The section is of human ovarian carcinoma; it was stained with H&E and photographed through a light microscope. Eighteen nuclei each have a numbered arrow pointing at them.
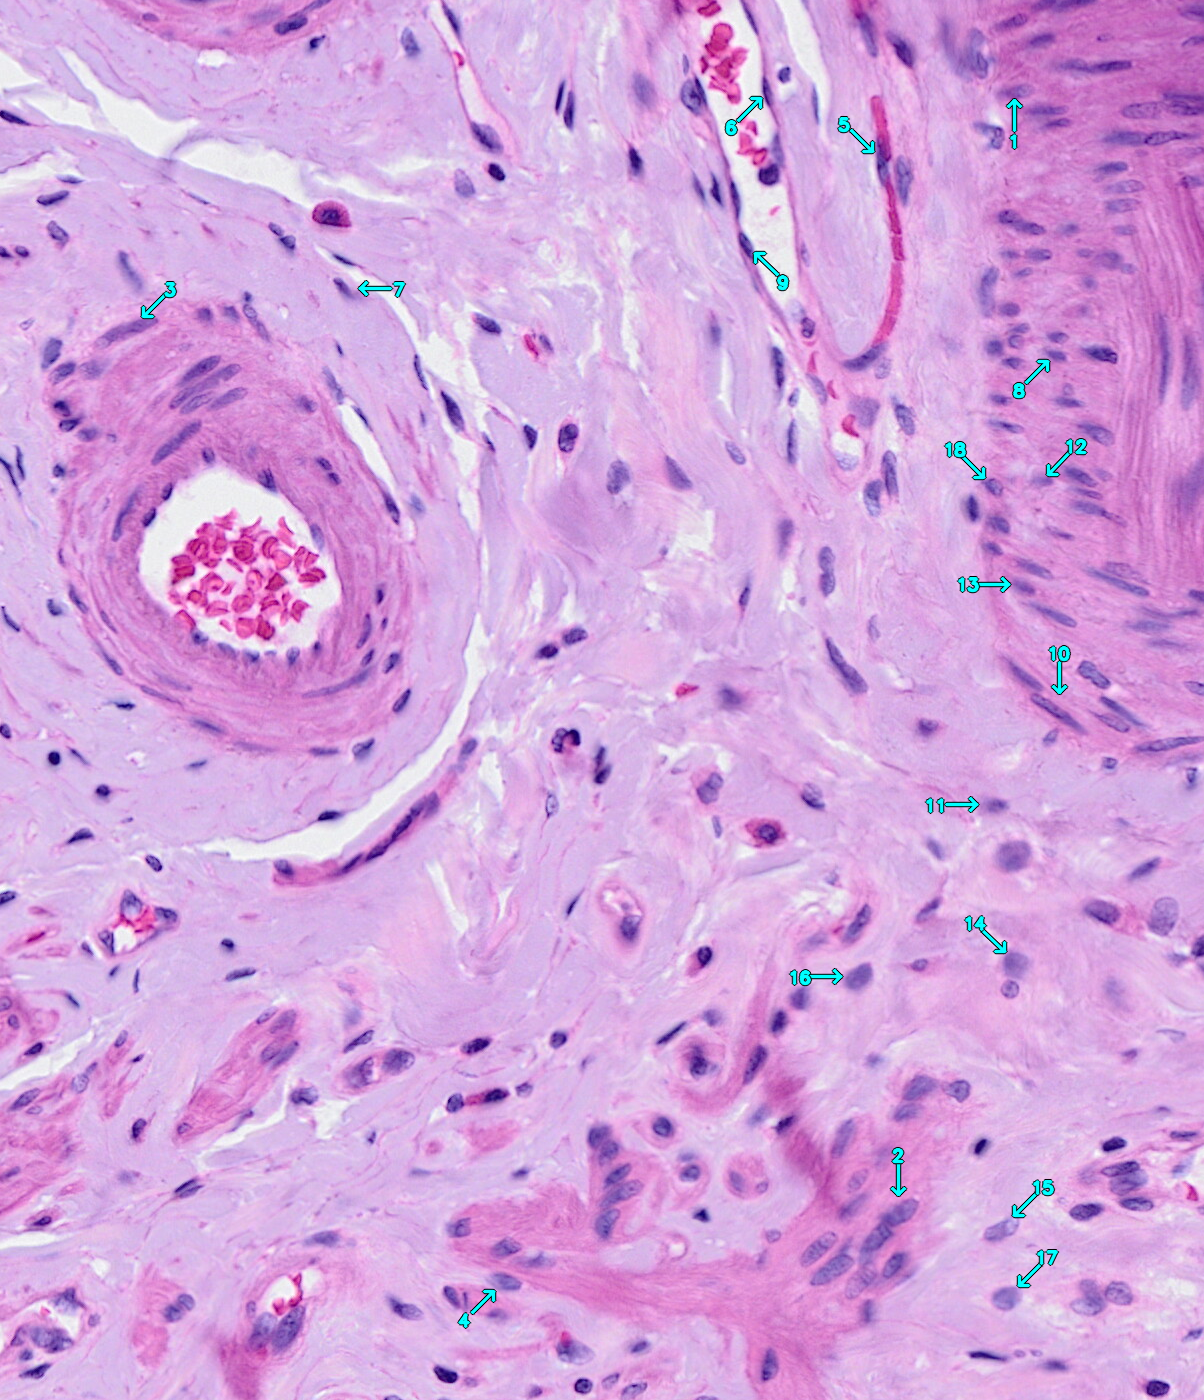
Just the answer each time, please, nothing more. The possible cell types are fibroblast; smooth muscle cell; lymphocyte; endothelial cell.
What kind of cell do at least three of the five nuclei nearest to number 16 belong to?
endothelial cell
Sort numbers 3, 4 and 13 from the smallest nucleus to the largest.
13, 4, 3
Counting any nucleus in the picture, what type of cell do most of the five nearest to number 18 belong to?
smooth muscle cell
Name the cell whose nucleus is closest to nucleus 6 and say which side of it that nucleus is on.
a lymphocyte; above and to the right of nucleus 6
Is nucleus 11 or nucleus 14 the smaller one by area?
11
